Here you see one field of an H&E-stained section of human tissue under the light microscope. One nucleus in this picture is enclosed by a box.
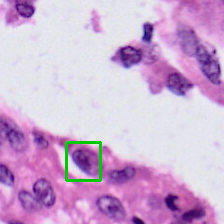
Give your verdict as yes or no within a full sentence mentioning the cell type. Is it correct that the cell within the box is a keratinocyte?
No, not quite: the cell within the box is a melanoma cell rather than a keratinocyte.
